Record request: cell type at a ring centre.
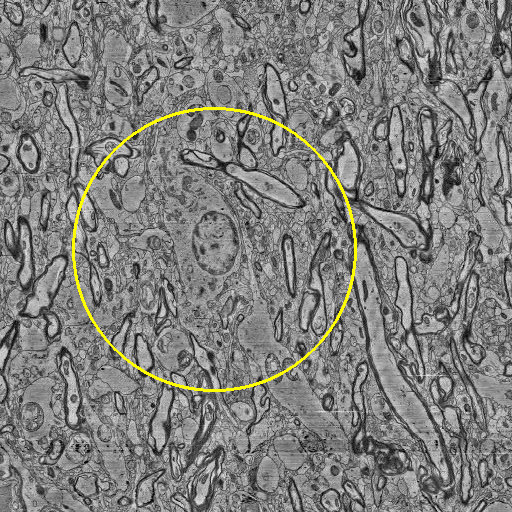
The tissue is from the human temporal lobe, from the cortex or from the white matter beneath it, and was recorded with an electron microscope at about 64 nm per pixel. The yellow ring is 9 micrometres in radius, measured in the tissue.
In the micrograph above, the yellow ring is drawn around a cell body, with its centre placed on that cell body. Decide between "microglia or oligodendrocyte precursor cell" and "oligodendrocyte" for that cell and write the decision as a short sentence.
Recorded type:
The cell centred in the yellow ring is a microglial cell or oligodendrocyte precursor cell.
